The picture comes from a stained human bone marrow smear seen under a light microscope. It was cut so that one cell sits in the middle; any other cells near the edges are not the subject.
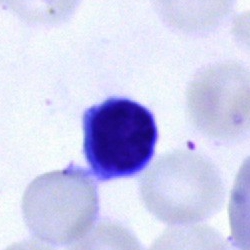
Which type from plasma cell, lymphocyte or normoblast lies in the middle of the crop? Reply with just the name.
lymphocyte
